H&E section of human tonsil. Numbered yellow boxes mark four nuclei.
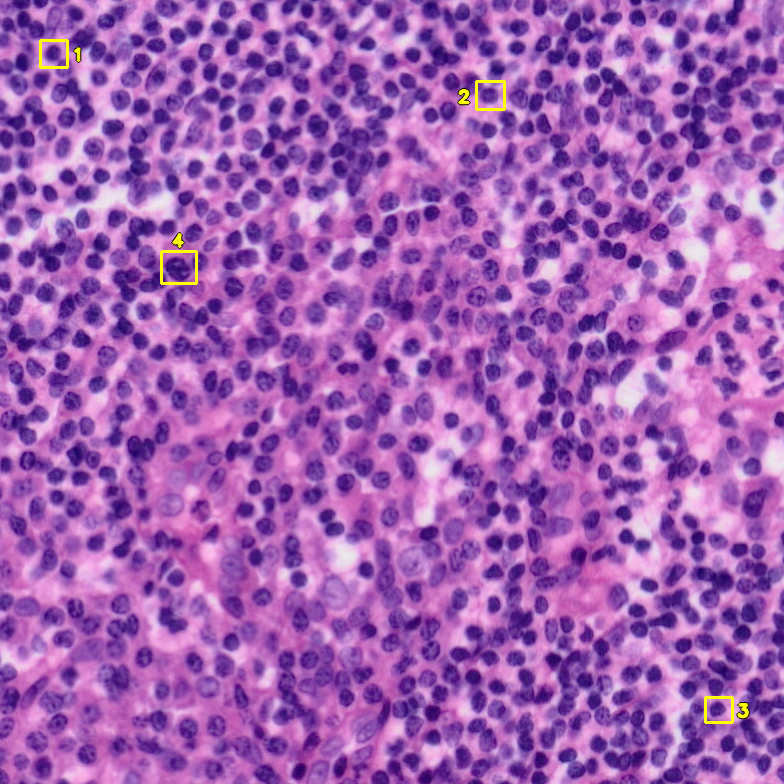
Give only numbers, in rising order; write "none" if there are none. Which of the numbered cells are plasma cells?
4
